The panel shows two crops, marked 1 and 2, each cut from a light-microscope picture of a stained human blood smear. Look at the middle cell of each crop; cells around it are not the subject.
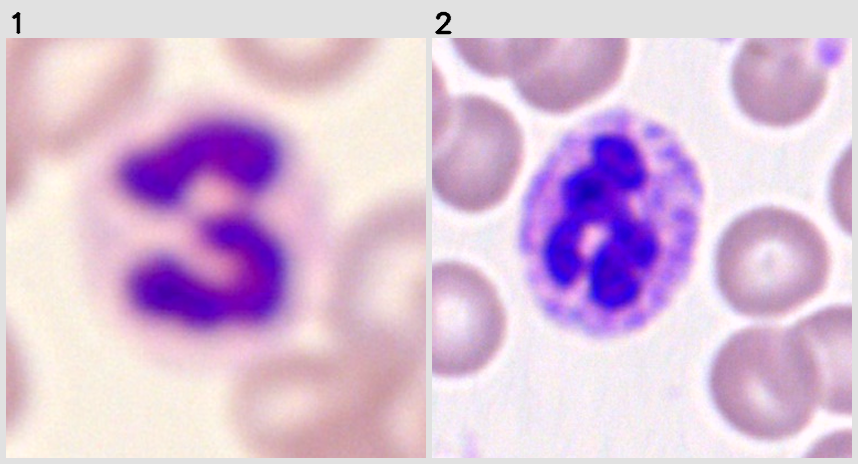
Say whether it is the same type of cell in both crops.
yes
